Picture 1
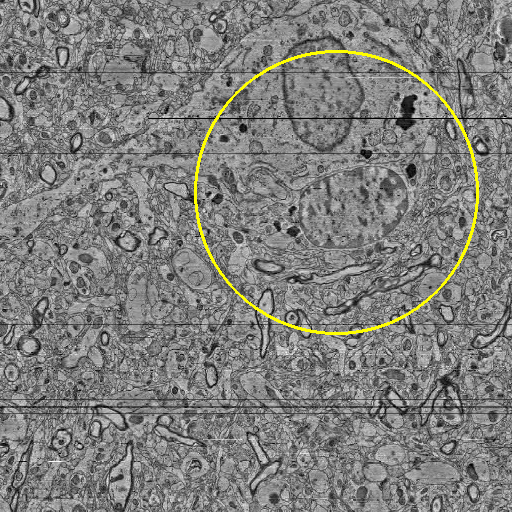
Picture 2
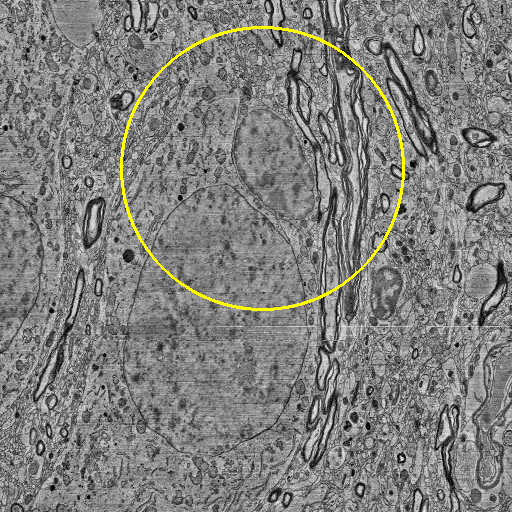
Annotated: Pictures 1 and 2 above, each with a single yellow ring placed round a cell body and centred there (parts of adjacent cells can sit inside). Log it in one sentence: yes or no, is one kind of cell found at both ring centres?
No, the ring centres of the two pictures hold cells of two kinds.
